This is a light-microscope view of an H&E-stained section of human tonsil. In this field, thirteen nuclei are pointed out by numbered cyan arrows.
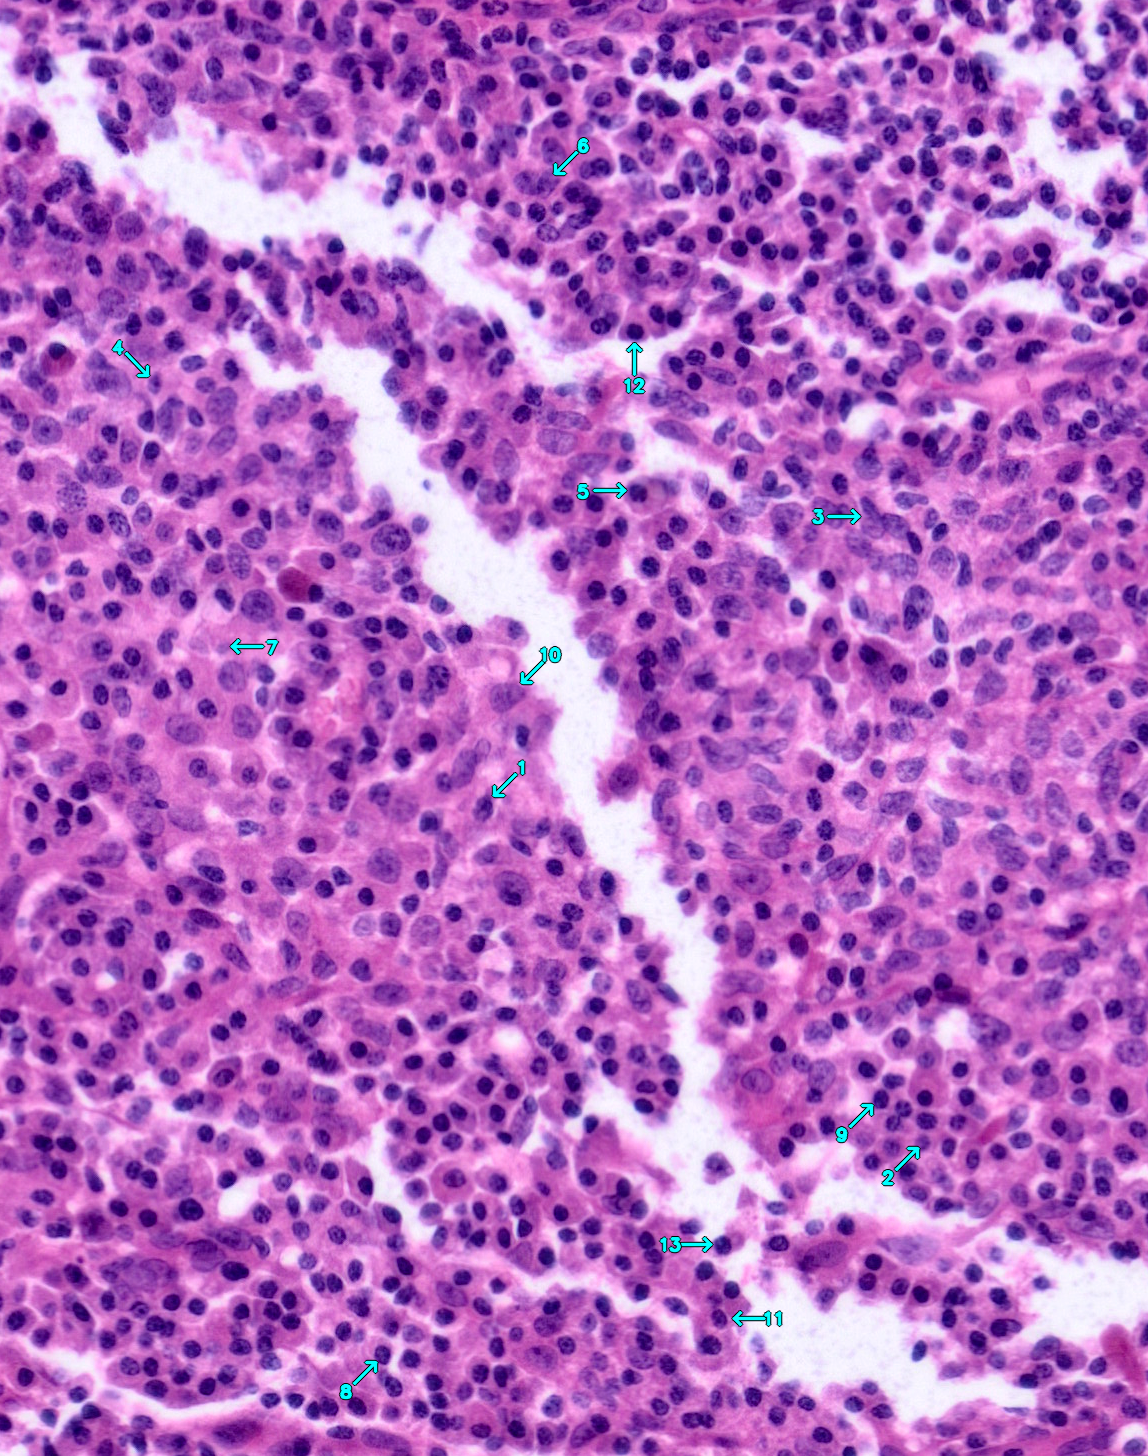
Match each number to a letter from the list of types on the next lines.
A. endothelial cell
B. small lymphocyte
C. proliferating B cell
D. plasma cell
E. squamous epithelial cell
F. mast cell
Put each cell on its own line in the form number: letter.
1: E
2: D
3: E
4: E
5: D
6: E
7: E
8: D
9: D
10: E
11: D
12: D
13: D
